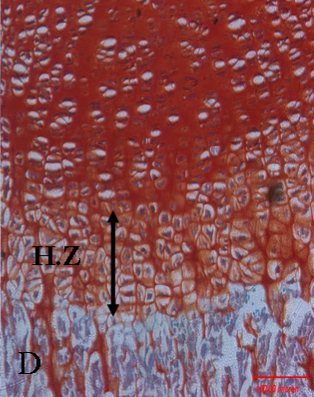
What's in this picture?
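Growth plate cartilage with chondrocytes in a red-stained matrix, showing a narrow band of hypertrophic cells above the bone front. The upper part holds many small rounded chondrocytes in lacunae, densely packed. Below, enlarged pale chondrocytes form a short band marked by a double-headed arrow; these cells are of modest size and their columns are irregular rather than neatly stacked. Beneath them lies bluish tissue of the invading bone and marrow, with red strands of remaining cartilage matrix extending downward.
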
